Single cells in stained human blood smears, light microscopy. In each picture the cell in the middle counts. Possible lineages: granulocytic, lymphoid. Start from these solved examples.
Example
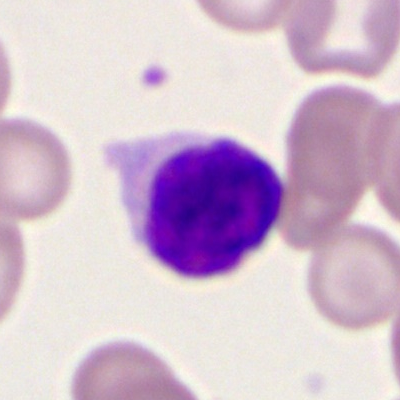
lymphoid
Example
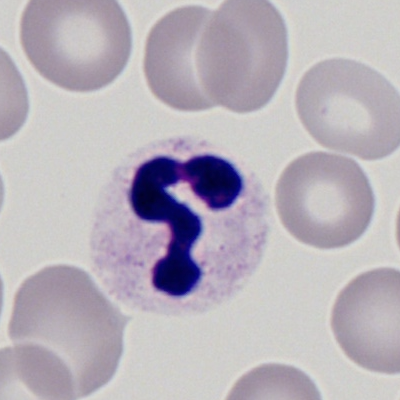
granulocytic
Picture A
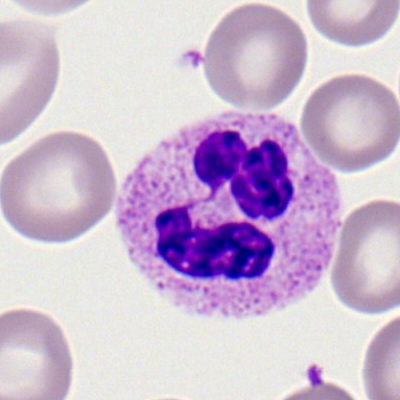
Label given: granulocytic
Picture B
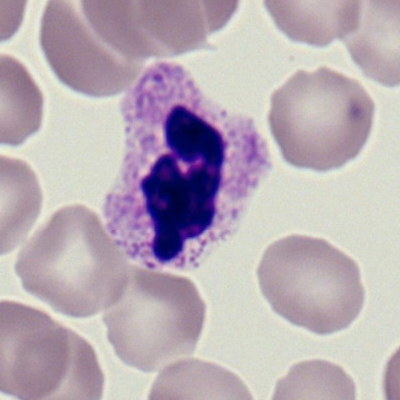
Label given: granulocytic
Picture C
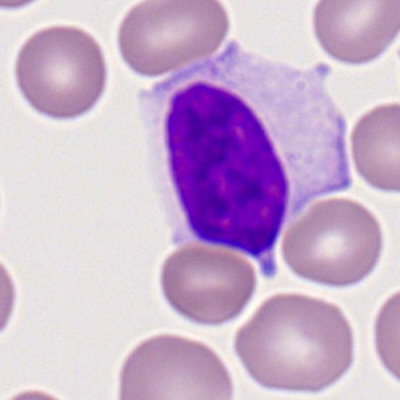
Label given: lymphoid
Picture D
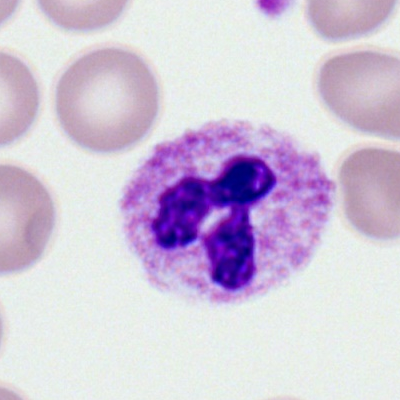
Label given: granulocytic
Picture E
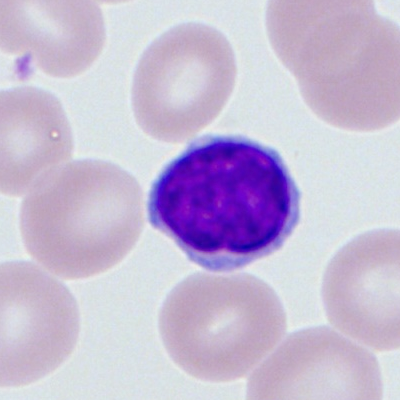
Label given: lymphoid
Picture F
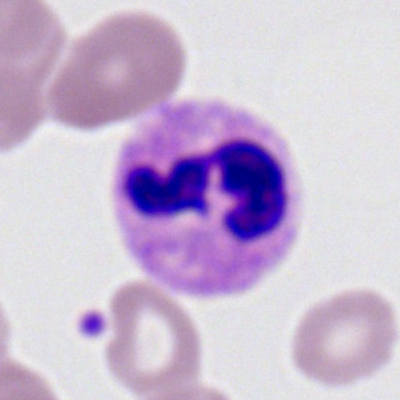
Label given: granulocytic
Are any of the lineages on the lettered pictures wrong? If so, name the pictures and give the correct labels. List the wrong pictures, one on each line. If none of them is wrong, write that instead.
All correct.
